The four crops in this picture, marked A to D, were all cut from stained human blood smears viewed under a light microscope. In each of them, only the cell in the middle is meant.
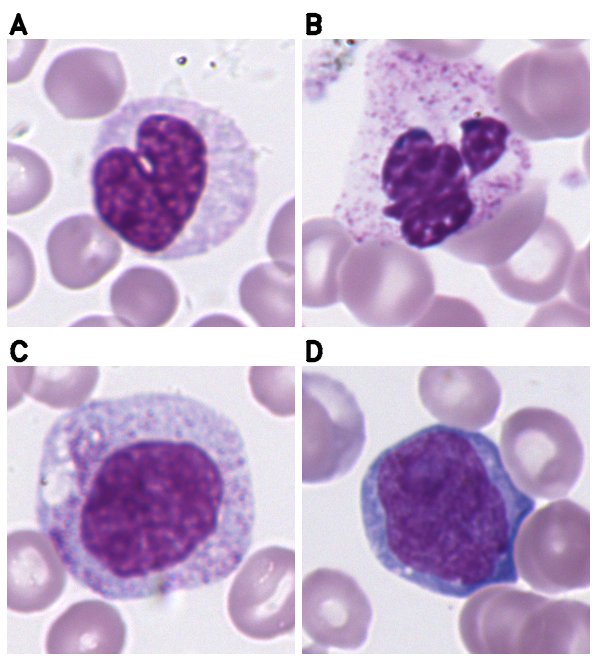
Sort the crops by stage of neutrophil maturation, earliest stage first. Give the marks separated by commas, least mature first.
D, C, A, B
